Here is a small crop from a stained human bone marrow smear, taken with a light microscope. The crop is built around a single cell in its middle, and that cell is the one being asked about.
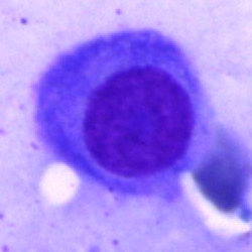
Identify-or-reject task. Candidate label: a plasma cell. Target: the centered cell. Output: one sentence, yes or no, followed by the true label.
Yes, the cell in the exact middle is a plasma cell.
